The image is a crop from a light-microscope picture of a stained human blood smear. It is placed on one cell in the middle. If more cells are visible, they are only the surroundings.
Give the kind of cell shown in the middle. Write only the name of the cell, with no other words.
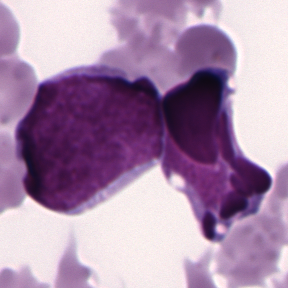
blast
